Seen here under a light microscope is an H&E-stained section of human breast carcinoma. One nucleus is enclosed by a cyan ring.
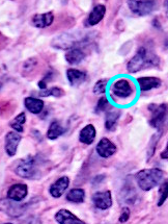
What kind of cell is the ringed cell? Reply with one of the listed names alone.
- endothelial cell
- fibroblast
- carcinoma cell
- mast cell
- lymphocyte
lymphocyte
